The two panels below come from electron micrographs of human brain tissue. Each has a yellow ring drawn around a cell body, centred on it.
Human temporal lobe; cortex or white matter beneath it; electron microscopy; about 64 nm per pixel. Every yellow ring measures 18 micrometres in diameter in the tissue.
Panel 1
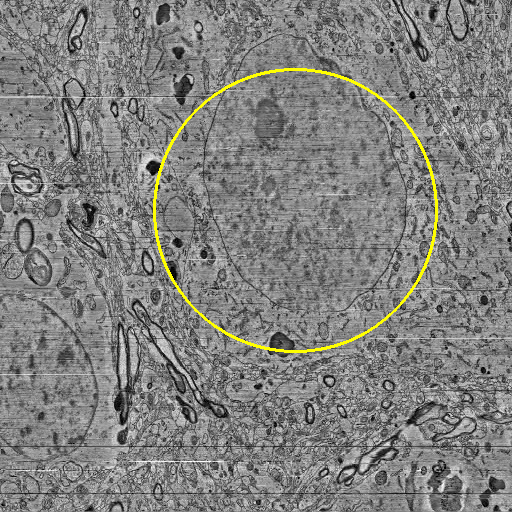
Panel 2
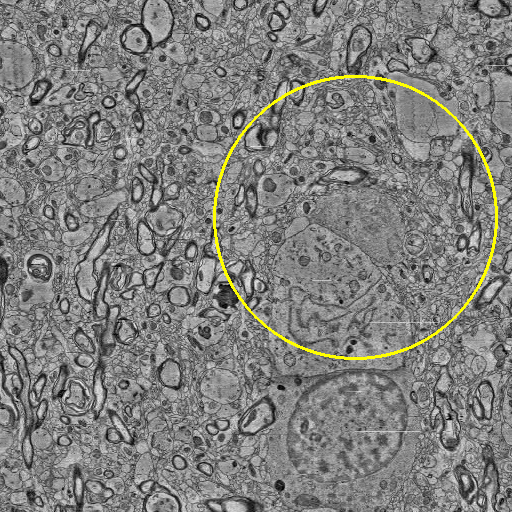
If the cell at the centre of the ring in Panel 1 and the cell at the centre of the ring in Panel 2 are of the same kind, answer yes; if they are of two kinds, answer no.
no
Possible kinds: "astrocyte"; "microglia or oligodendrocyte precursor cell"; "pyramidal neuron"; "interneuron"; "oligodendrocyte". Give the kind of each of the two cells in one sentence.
The cell in the second picture is an oligodendrocyte, and that in the first is a pyramidal neuron.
